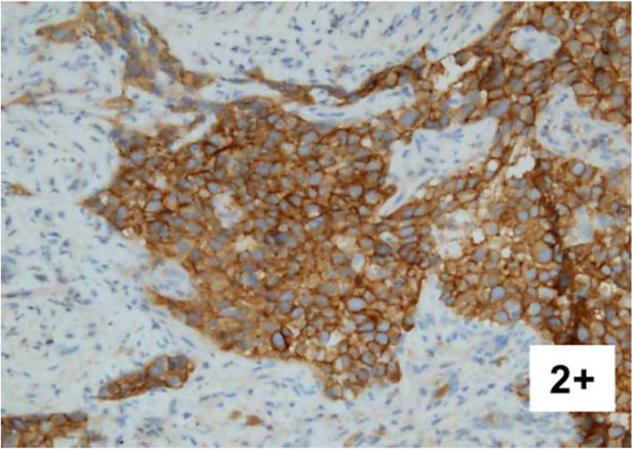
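A sheet of crowded polygonal epithelial cells lies within a pale stroma containing elongated spindle-shaped cells. The epithelial cells show moderate brown staining of the cytoplasm and cell borders around pale blue round nuclei, and the surrounding stroma stays blue and unstained.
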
